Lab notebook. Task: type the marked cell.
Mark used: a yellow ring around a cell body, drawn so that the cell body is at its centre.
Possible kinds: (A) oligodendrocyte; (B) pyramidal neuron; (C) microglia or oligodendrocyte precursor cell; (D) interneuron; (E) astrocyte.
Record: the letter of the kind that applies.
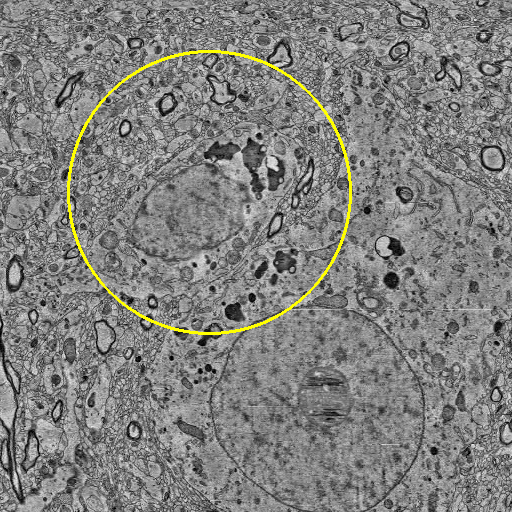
D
